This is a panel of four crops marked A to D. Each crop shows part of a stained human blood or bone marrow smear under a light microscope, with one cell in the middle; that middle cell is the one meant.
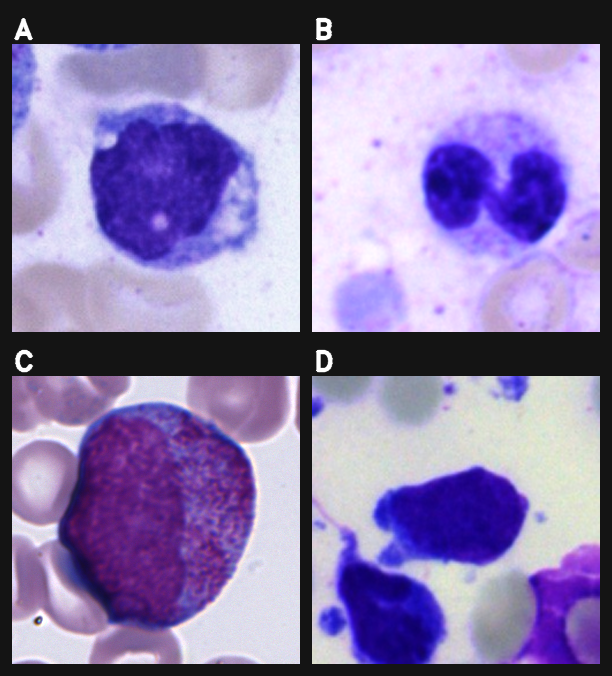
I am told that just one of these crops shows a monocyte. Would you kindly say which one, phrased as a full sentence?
The crop that shows a monocyte is crop A.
